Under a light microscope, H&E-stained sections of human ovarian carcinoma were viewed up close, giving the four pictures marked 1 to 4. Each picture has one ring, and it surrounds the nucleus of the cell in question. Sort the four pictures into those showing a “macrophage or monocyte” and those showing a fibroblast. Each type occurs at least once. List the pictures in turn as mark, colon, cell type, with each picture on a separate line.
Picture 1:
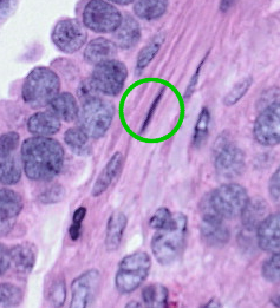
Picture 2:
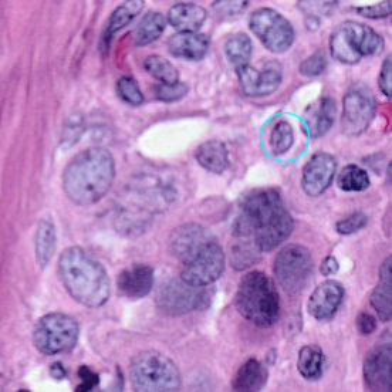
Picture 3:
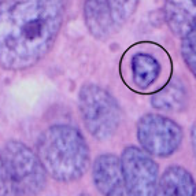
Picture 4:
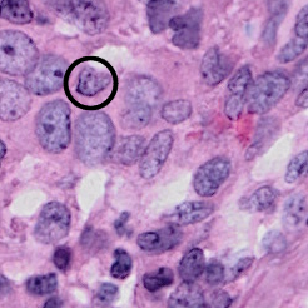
1: fibroblast
2: macrophage or monocyte
3: macrophage or monocyte
4: macrophage or monocyte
